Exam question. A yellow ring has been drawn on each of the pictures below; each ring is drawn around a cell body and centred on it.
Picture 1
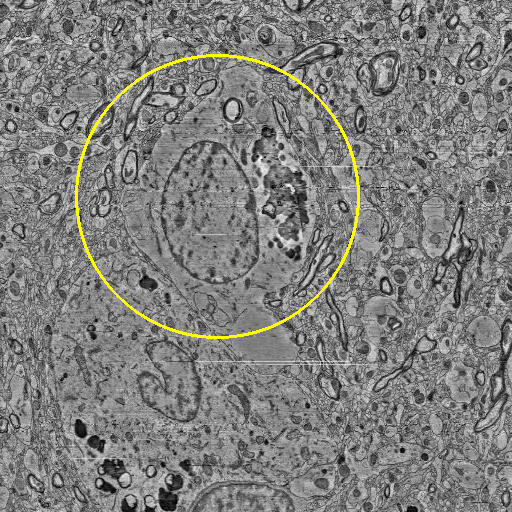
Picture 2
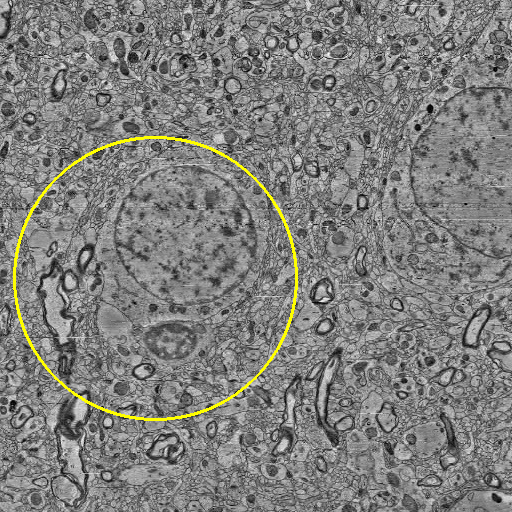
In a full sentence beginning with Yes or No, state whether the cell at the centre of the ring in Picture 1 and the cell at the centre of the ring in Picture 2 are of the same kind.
No, the cells are of two kinds.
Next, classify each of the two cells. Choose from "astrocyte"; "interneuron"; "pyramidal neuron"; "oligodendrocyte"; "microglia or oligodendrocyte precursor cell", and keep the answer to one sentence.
In the first picture it is an astrocyte; in the second it is an interneuron.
